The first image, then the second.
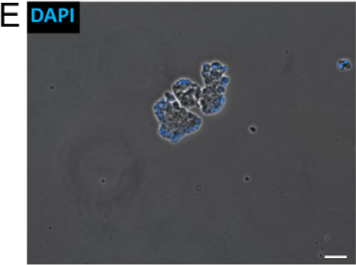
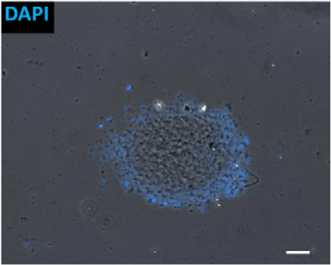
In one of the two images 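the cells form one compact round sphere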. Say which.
The second image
